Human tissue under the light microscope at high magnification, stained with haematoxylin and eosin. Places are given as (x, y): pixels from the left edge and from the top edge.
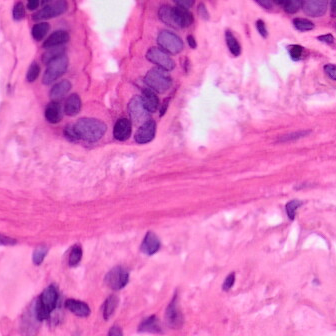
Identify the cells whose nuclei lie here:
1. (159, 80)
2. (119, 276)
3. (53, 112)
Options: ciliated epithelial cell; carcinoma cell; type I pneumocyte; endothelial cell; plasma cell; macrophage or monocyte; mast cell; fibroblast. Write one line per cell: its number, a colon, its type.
1: ciliated epithelial cell
2: fibroblast
3: ciliated epithelial cell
